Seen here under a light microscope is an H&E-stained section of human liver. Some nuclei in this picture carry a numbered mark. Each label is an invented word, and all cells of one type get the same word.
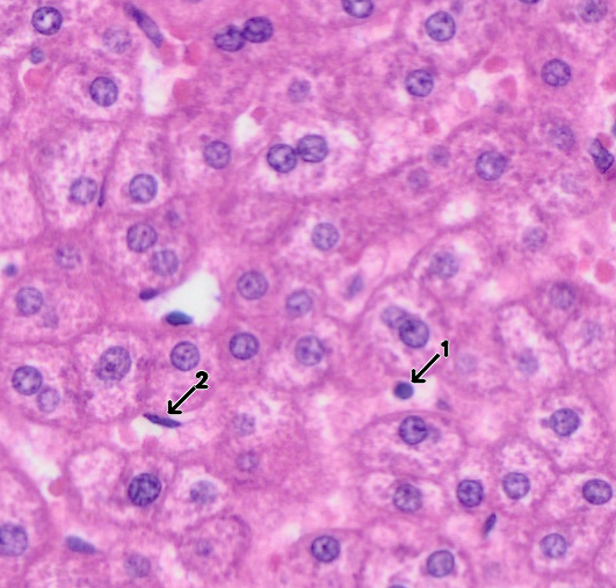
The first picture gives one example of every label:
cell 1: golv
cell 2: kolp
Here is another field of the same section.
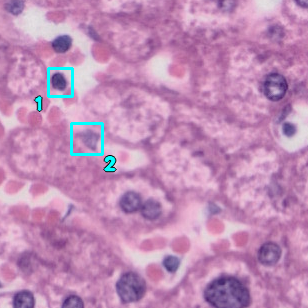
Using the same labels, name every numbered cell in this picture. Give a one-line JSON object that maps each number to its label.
{"1": "golv", "2": "kolp"}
